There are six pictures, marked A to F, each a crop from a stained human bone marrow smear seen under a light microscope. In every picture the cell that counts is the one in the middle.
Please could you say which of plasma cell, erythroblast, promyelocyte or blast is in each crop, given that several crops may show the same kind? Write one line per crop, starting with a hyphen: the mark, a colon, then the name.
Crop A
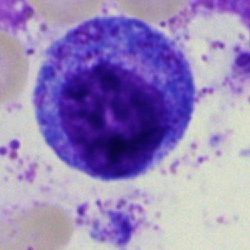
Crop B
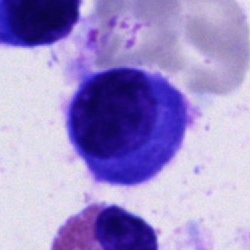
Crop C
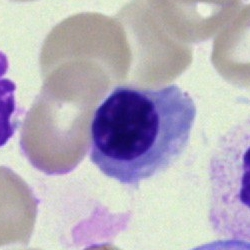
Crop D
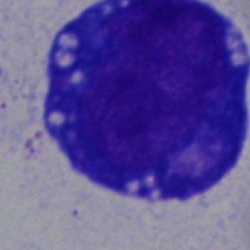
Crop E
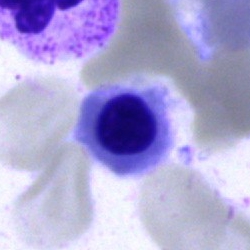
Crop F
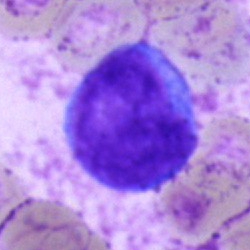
- A: promyelocyte
- B: plasma cell
- C: erythroblast
- D: blast
- E: erythroblast
- F: blast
